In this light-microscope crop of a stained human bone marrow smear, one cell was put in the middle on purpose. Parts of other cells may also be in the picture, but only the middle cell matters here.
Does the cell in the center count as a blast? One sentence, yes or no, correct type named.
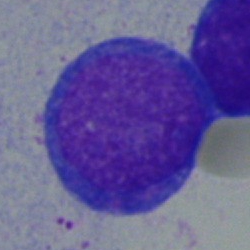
Yes, the cell in the middle of the view is a blast.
